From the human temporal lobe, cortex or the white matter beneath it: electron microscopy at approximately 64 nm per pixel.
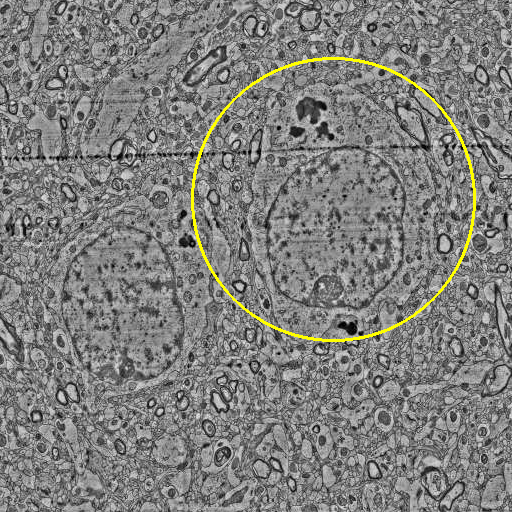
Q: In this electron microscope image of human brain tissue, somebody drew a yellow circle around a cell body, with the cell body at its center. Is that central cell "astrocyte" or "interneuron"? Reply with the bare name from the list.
interneuron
